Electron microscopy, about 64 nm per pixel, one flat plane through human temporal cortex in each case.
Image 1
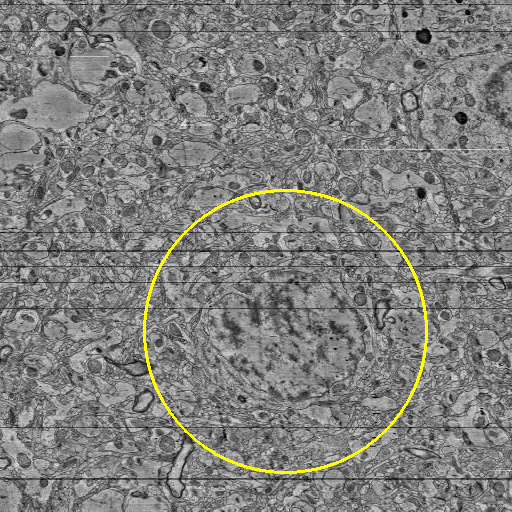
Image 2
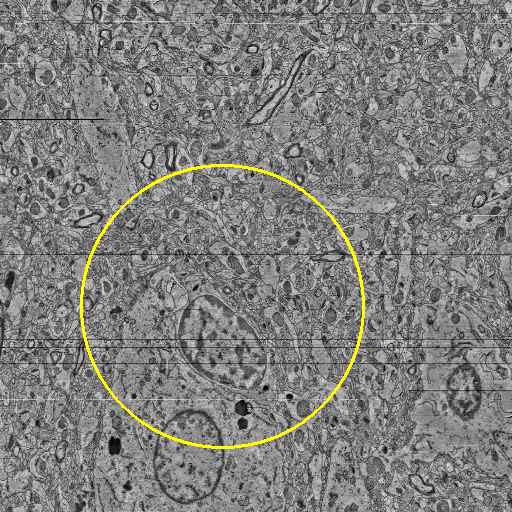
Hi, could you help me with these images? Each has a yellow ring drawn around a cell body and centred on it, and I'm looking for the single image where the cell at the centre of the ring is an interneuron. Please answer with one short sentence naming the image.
It is Image 1 that has it at the centre of its ring.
